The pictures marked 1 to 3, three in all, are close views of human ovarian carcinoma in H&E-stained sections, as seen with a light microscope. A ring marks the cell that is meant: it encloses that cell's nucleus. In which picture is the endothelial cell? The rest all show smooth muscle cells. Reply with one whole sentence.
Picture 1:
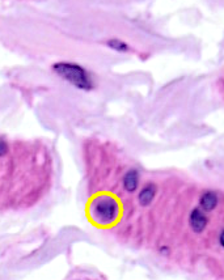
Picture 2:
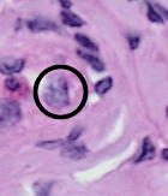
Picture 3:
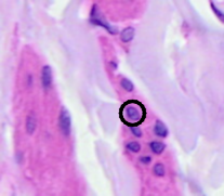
Picture 2 shows the endothelial cell.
